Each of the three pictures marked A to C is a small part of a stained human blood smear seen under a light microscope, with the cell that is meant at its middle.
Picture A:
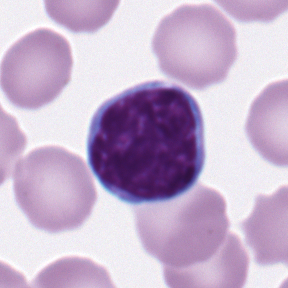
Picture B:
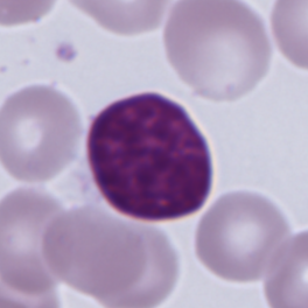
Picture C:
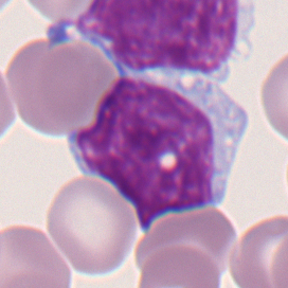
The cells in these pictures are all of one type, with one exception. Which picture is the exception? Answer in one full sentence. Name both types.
The different one is picture B; it shows a smudge cell, whereas all the others show typical lymphocytes.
